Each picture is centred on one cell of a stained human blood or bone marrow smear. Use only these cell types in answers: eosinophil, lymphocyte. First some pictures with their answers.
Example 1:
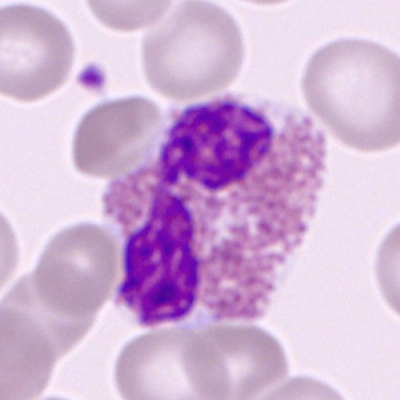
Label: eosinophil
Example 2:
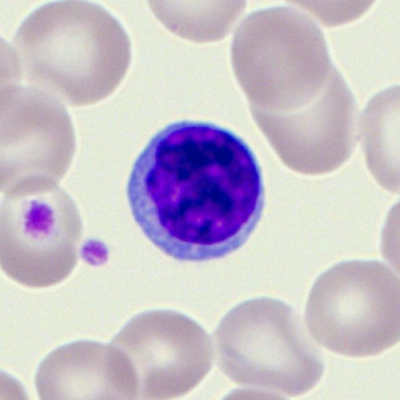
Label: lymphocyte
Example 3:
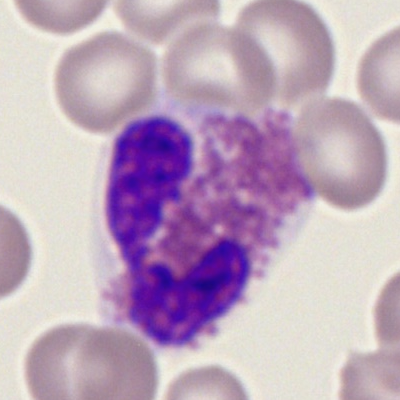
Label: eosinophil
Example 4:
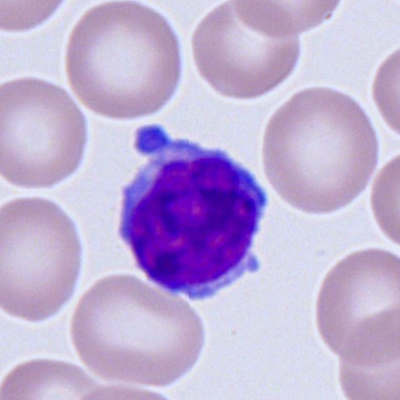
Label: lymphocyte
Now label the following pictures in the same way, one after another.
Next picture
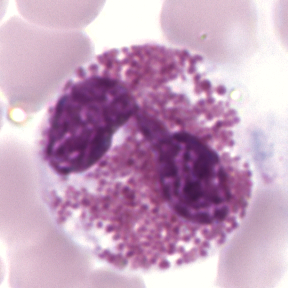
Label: eosinophil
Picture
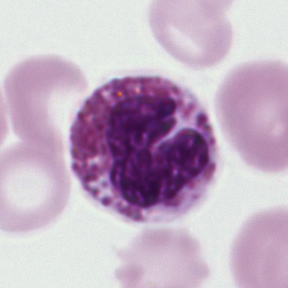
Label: eosinophil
